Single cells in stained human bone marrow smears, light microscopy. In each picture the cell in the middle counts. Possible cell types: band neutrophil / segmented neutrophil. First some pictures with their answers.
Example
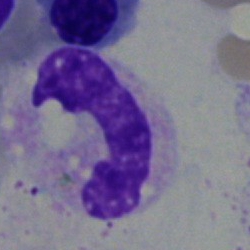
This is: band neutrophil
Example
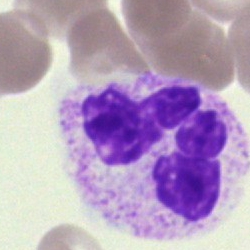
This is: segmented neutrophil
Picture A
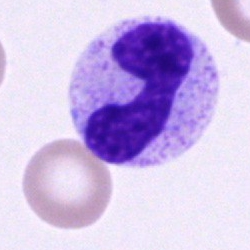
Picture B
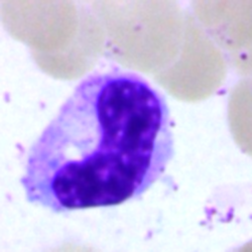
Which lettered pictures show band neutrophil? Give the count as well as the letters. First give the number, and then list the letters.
2, namely A, B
